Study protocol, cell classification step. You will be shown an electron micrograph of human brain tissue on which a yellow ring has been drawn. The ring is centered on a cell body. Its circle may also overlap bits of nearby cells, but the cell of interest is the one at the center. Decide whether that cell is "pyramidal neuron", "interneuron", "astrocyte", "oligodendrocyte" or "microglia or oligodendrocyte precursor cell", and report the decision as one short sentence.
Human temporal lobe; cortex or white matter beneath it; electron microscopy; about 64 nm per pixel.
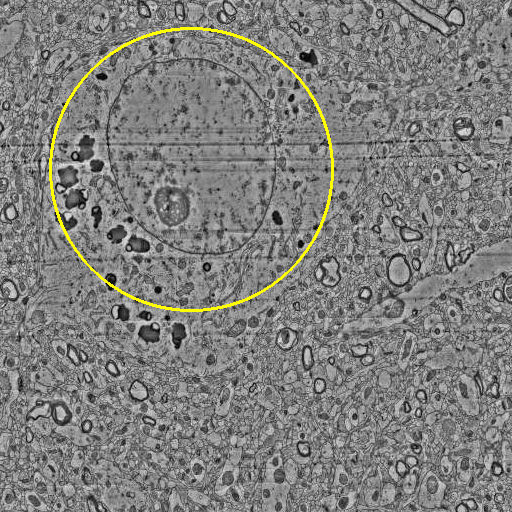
The marked cell is a pyramidal neuron.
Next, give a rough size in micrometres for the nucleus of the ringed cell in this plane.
In this plane, roughly 13 by 11 micrometres.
